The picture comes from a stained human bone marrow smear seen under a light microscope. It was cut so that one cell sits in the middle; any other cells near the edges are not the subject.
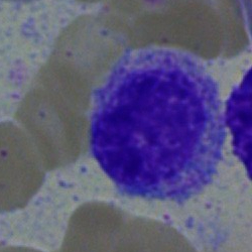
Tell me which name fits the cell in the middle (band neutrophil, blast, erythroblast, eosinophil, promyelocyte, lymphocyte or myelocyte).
myelocyte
